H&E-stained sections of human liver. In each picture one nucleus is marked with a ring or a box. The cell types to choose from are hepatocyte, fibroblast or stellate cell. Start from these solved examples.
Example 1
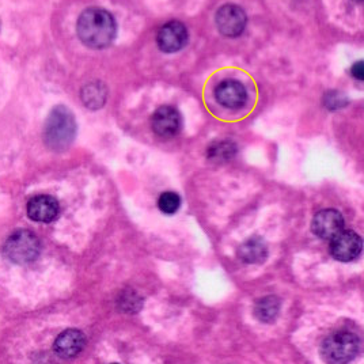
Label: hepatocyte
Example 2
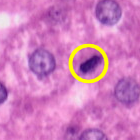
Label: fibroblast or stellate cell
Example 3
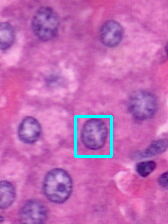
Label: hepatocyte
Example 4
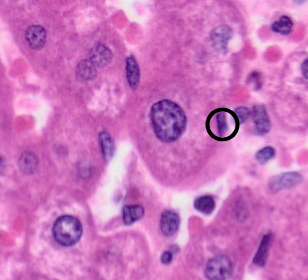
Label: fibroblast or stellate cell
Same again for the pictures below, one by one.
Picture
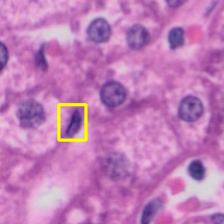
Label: fibroblast or stellate cell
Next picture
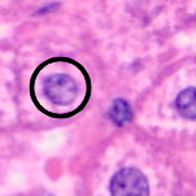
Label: hepatocyte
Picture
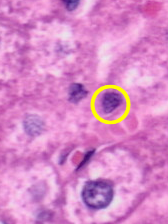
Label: fibroblast or stellate cell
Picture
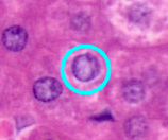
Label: hepatocyte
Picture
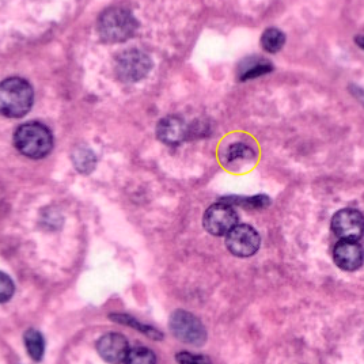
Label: fibroblast or stellate cell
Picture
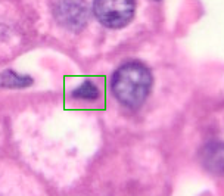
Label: fibroblast or stellate cell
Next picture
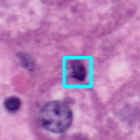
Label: fibroblast or stellate cell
